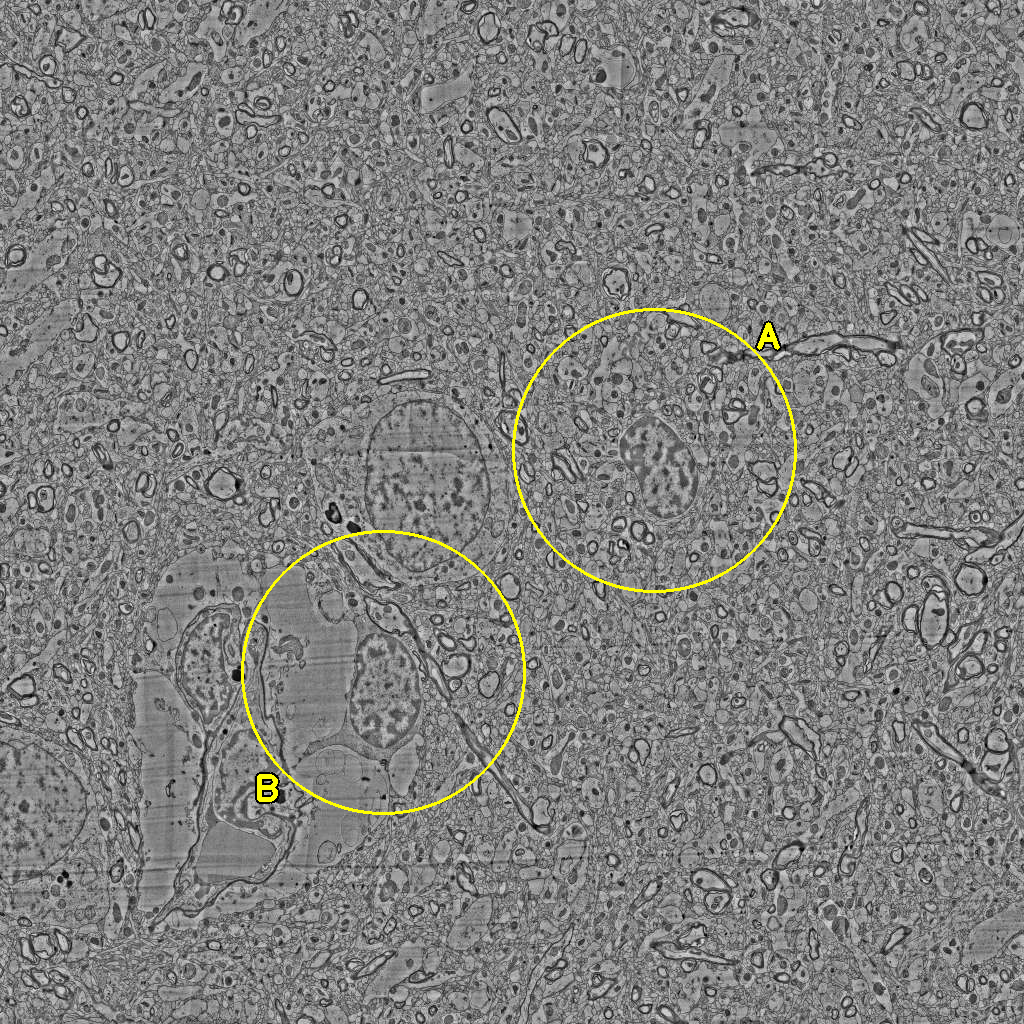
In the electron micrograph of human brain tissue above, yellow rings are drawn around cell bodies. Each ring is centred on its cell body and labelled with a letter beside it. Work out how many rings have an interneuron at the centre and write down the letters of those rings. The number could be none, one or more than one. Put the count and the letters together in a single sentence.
Zero is the number of yellow rings here that are centred on an interneuron.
